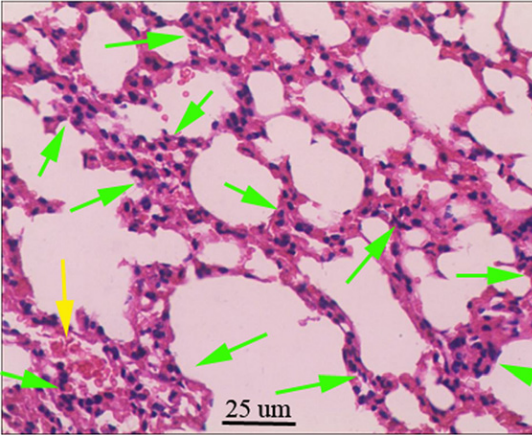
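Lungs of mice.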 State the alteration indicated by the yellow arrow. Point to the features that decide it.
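The yellow arrow points to a cluster of small red anucleate cells filling an air space.
Bleeding.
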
